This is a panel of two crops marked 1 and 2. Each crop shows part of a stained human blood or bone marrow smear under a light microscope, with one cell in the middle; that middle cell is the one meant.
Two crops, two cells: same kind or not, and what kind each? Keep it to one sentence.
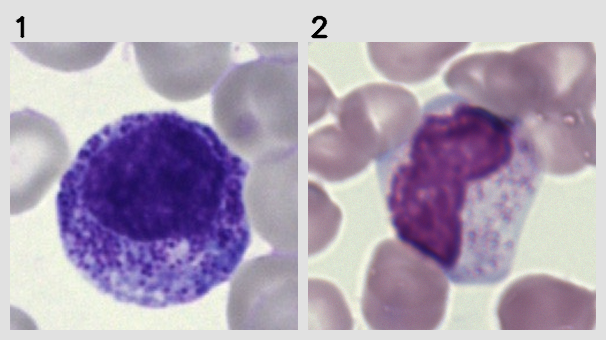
Yes, the two crops show myelocytes, both of them.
